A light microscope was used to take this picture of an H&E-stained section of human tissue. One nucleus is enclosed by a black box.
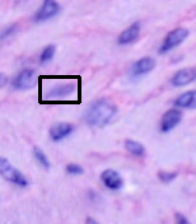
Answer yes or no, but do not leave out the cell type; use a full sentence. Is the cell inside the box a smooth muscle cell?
Yes, regarding cell type, the cell inside the box is a smooth muscle cell.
